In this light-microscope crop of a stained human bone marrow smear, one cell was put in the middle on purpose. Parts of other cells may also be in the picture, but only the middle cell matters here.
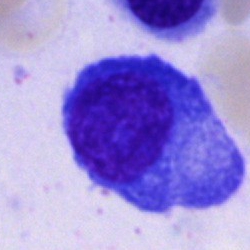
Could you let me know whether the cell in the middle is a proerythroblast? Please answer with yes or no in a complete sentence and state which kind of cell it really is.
No, the cell centered in the crop is a plasma cell, not a proerythroblast.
